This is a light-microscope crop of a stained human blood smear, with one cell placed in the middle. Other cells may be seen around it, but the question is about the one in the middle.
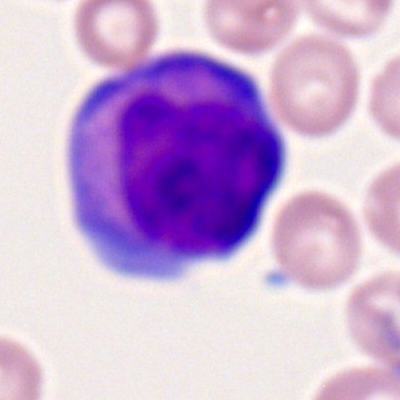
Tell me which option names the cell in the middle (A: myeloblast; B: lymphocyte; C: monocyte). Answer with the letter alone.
A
